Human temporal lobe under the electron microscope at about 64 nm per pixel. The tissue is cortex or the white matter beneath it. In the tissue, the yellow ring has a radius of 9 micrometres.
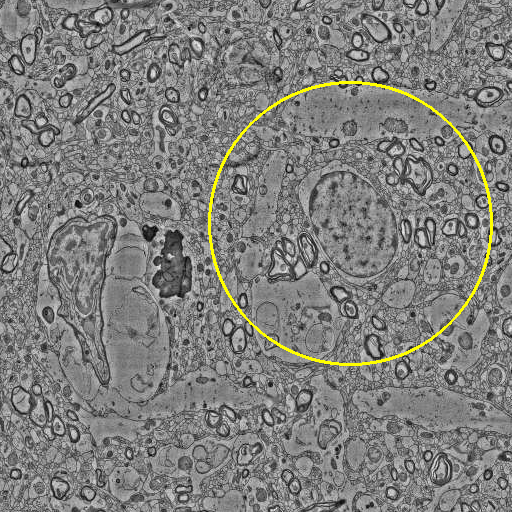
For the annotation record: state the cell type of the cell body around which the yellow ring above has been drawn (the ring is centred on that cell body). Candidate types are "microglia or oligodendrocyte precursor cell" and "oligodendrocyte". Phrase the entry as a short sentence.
The ringed cell is a microglial cell or oligodendrocyte precursor cell.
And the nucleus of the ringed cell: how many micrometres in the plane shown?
Approximately 7 by 6 micrometers in this plane.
